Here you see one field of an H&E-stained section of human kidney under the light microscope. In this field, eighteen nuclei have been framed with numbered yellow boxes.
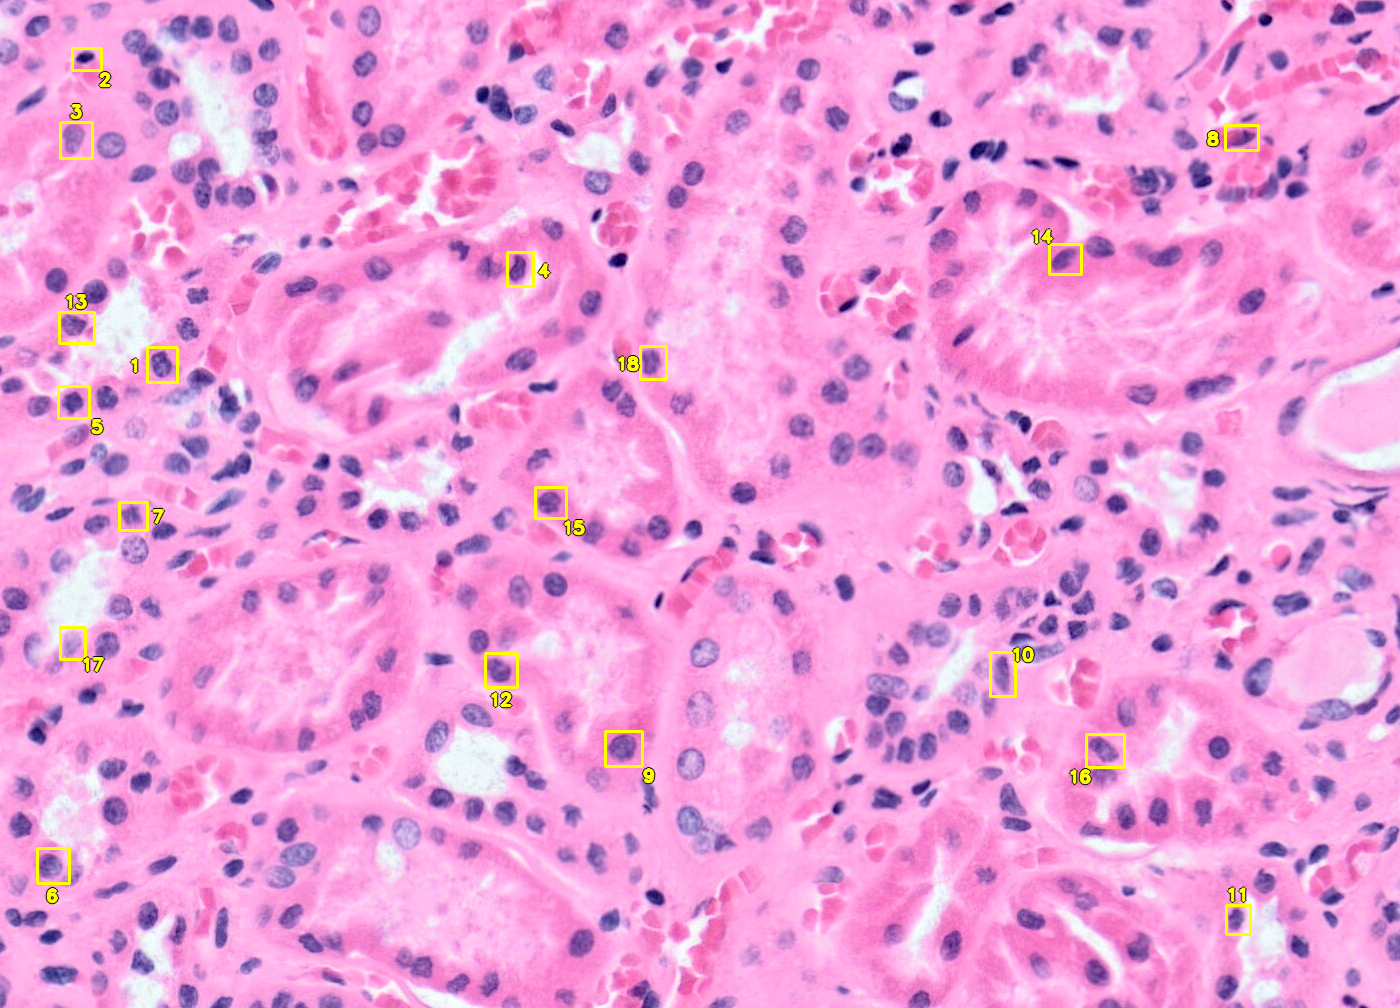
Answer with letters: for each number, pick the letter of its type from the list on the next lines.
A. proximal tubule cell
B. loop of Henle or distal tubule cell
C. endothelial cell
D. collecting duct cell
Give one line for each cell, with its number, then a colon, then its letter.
1: B
2: C
3: A
4: A
5: B
6: B
7: B
8: C
9: A
10: D
11: B
12: A
13: B
14: A
15: A
16: A
17: B
18: A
